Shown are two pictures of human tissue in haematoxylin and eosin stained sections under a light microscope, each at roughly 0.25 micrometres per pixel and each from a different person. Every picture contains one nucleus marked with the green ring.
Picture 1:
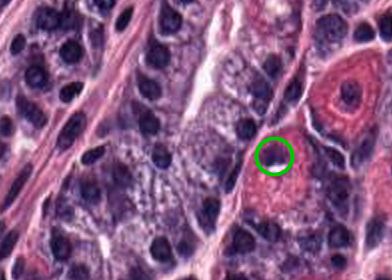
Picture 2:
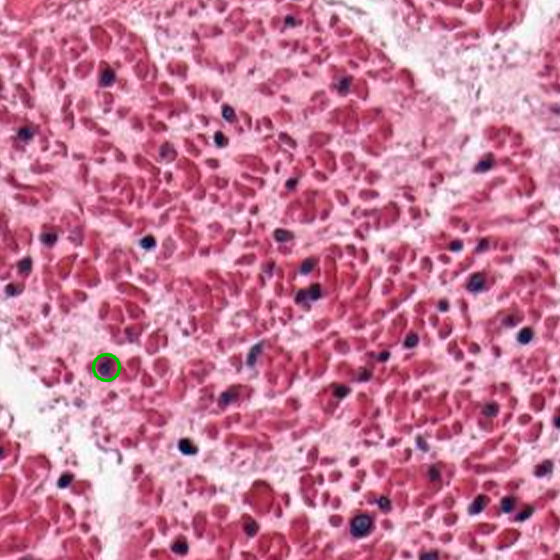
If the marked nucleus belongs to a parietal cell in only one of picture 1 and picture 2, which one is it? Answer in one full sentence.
A nucleus of a parietal cell is the one marked in picture 1.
